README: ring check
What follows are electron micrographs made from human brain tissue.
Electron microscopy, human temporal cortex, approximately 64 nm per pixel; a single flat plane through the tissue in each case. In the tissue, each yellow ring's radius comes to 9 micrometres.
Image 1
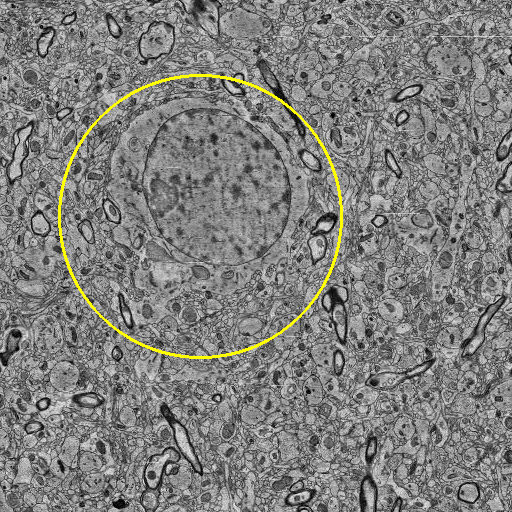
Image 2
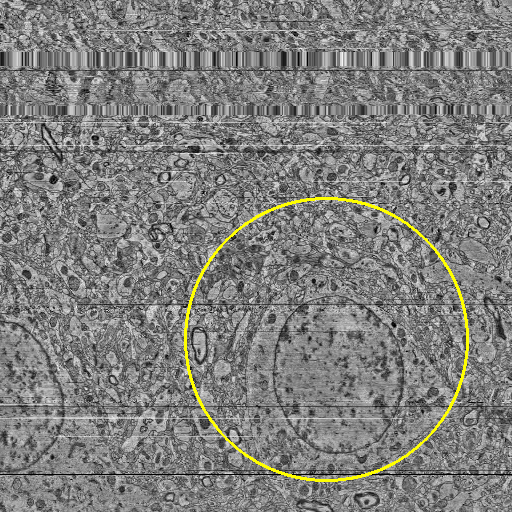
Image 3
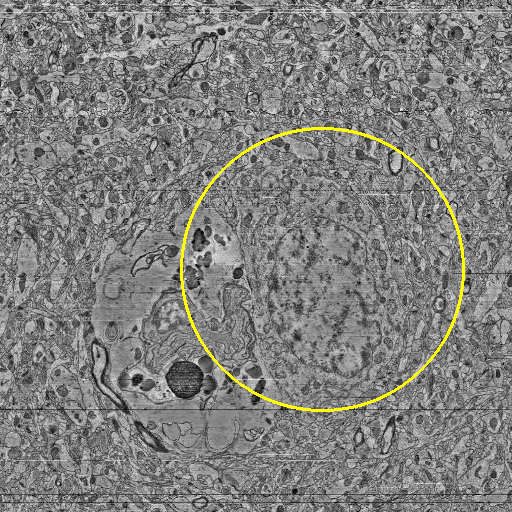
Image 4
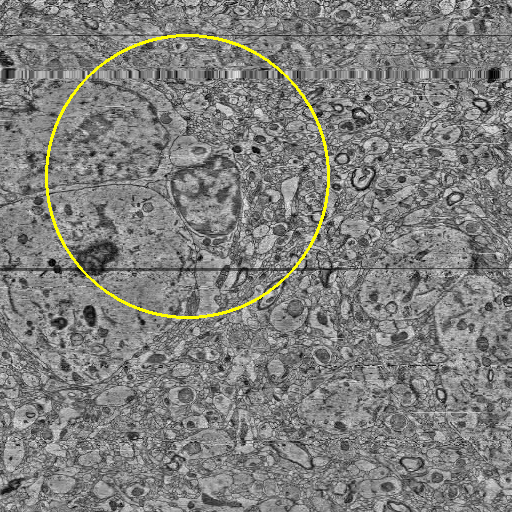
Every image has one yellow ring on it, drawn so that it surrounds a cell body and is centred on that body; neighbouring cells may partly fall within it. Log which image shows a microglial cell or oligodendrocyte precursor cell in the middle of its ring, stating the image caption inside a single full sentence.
Image 4 is where the cell at the ring's centre matches the one asked for.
